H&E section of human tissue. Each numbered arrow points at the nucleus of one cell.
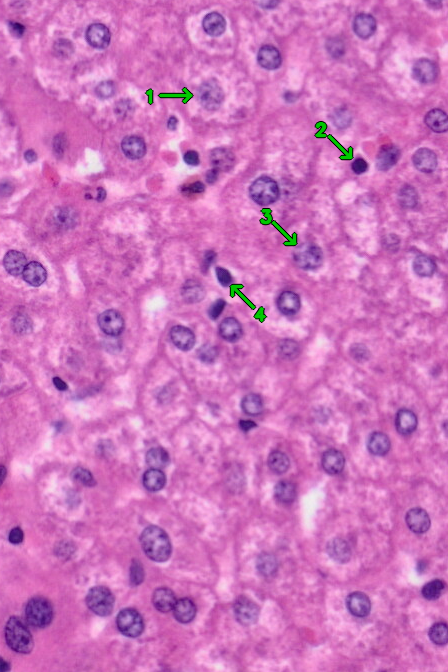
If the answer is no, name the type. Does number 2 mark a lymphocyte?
Yes.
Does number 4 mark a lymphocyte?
Yes.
